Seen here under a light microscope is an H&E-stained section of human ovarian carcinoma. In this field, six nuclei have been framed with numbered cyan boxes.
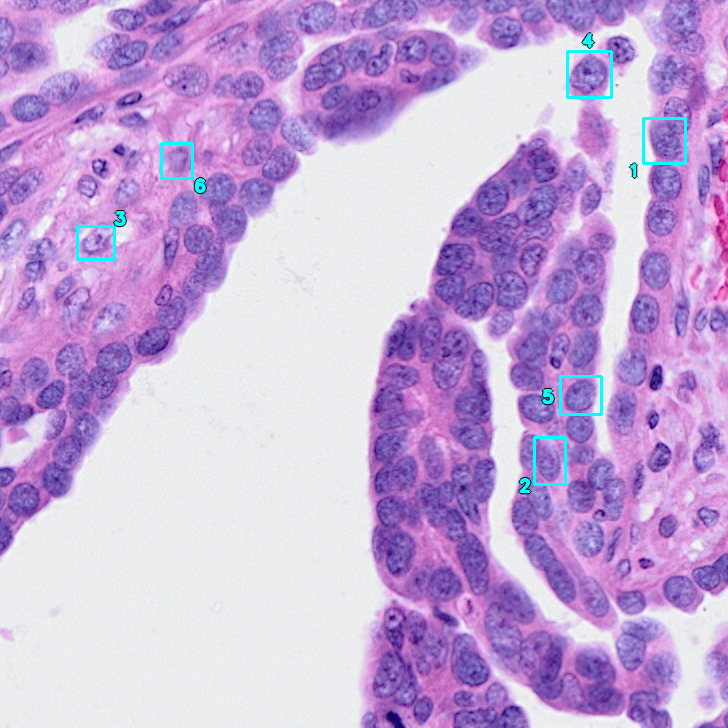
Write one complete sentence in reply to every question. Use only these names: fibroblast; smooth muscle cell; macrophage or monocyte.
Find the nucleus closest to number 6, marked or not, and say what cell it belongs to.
The cell nearest to number 6 is a macrophage or monocyte.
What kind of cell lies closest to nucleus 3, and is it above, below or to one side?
Just above and to the left of nucleus 3 lies the nearest nucleus, which belongs to a fibroblast.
